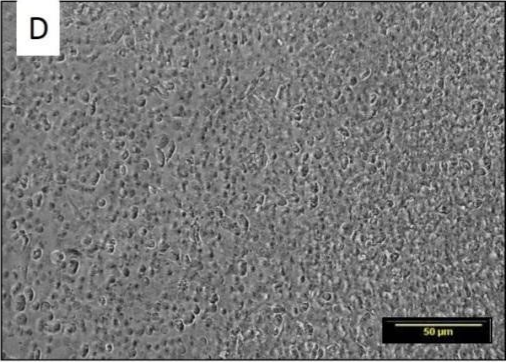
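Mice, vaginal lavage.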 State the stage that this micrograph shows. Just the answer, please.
diestrous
